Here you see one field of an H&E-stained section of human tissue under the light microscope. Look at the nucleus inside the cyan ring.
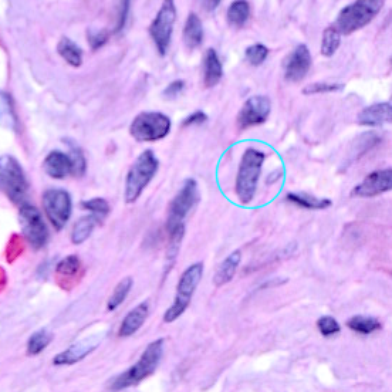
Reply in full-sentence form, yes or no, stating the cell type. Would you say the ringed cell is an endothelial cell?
No, mate, the ringed cell is a fibroblast rather than an endothelial cell.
